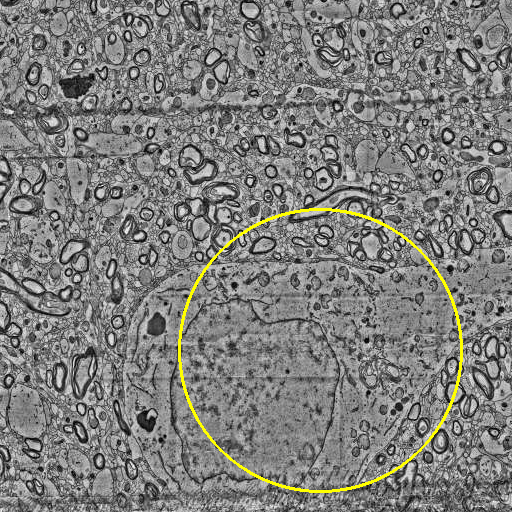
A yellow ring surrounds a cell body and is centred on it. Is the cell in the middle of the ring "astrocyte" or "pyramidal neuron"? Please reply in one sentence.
The ring is centred on a pyramidal neuron.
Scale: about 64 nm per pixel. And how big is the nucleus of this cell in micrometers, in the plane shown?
Approximately 12 micrometres across, in this plane.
